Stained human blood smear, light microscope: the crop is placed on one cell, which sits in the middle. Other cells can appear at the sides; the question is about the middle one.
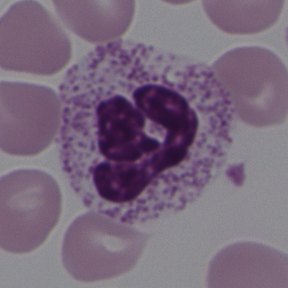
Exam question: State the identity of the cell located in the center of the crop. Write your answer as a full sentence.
Classification of the middle cell gives a segmented neutrophil.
